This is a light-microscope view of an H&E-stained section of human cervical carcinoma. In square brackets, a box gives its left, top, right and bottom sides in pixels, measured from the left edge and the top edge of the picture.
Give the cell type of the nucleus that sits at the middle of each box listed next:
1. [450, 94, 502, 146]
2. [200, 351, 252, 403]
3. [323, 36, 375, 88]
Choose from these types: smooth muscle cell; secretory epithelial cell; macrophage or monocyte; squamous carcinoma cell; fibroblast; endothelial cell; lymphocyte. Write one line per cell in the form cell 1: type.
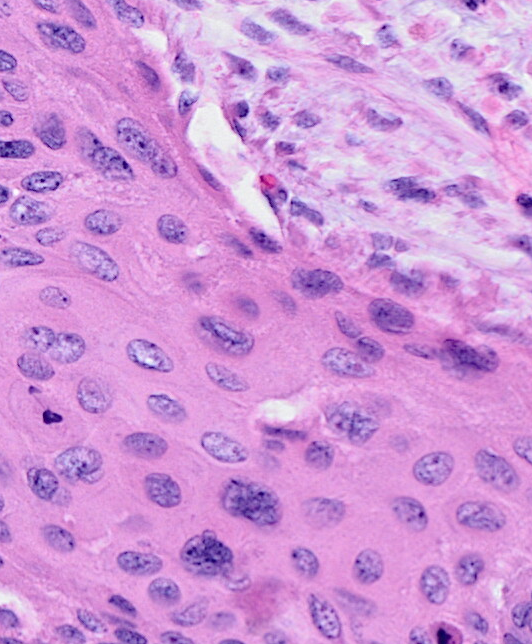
cell 1: fibroblast
cell 2: squamous carcinoma cell
cell 3: fibroblast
